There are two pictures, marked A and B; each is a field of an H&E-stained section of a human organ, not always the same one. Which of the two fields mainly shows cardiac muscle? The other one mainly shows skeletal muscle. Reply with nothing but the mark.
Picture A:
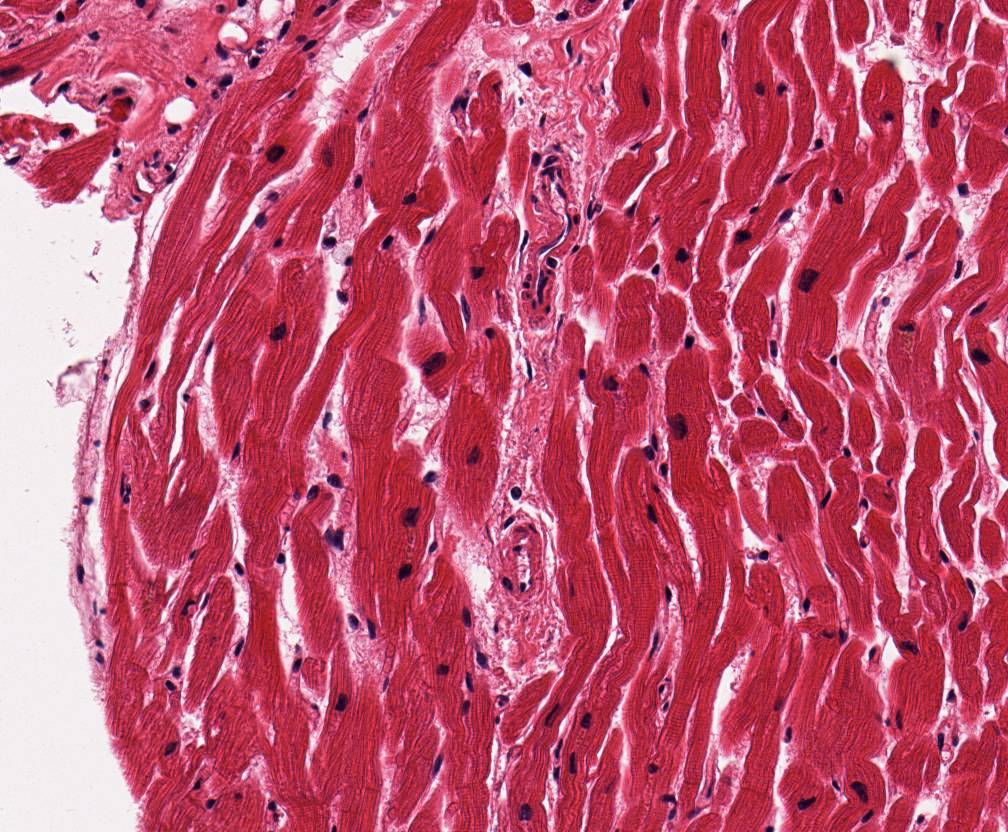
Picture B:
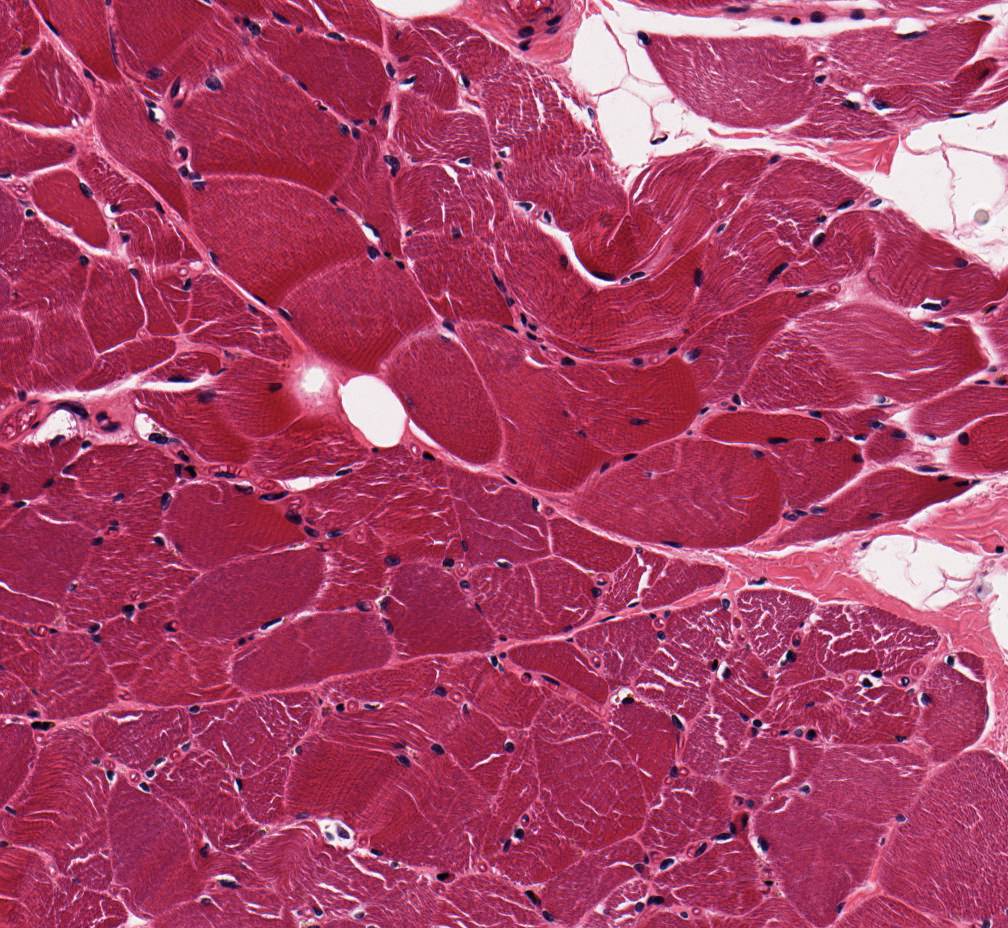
A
